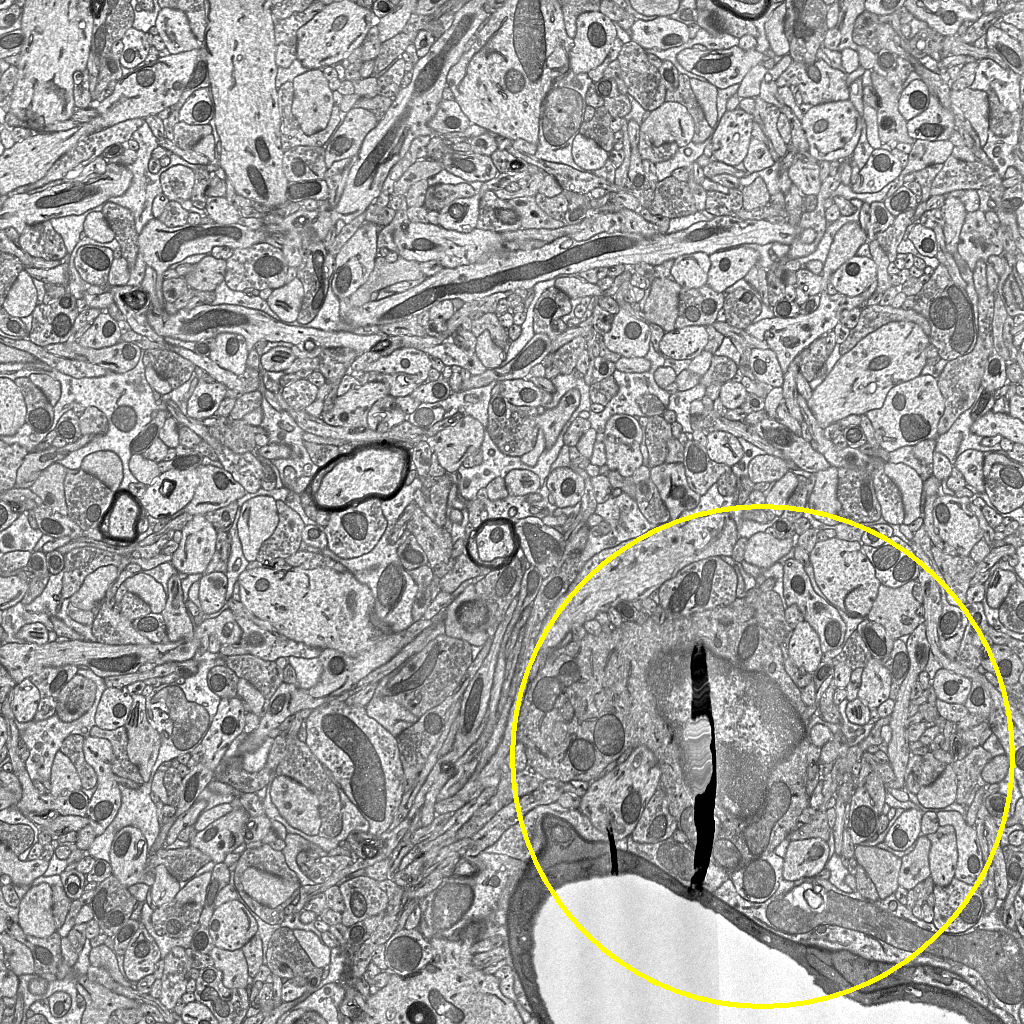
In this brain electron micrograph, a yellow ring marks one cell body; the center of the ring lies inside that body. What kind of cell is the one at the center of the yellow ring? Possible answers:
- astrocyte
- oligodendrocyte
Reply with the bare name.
oligodendrocyte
